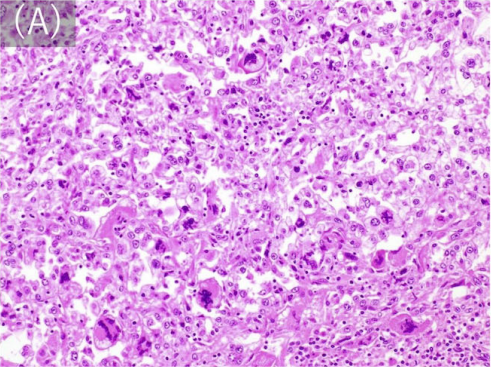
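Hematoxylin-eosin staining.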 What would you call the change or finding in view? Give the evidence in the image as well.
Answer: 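Nuclei vary greatly in size and shape. Scattered very large cells with dark, bizarre nuclei lie among smaller cells. On this evidence: diffuse proliferation of atypical cells.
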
